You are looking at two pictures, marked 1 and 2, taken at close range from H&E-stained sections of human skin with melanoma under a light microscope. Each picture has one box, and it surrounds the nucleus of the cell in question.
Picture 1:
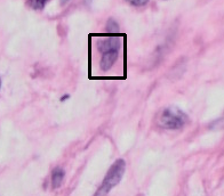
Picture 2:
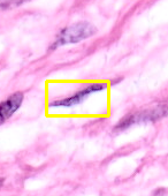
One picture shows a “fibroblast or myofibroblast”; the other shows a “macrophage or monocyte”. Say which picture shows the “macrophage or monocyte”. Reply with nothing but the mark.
1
